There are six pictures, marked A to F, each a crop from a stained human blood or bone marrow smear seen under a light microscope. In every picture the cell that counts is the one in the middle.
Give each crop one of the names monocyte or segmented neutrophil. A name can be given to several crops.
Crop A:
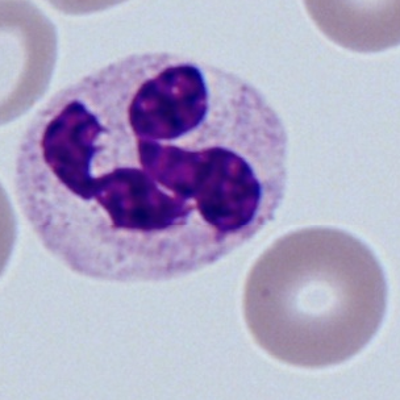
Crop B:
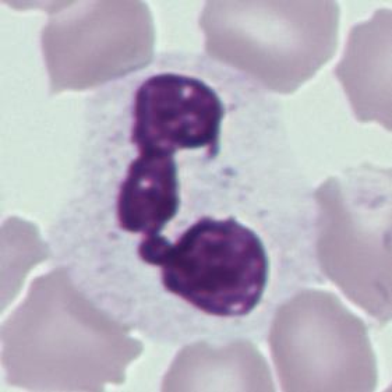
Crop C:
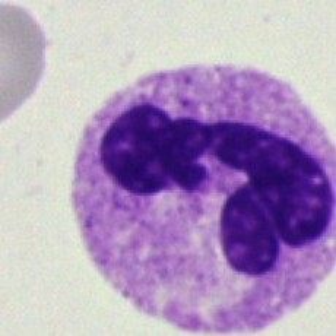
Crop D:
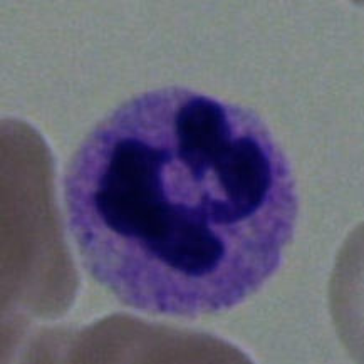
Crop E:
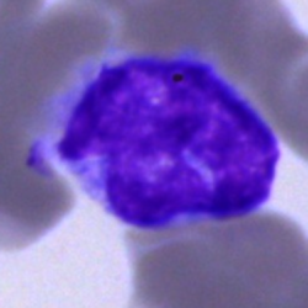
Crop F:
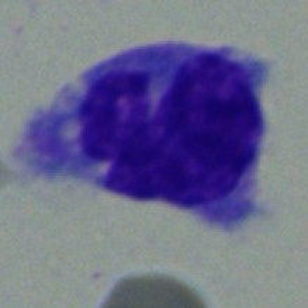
A: segmented neutrophil
B: segmented neutrophil
C: segmented neutrophil
D: segmented neutrophil
E: monocyte
F: monocyte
